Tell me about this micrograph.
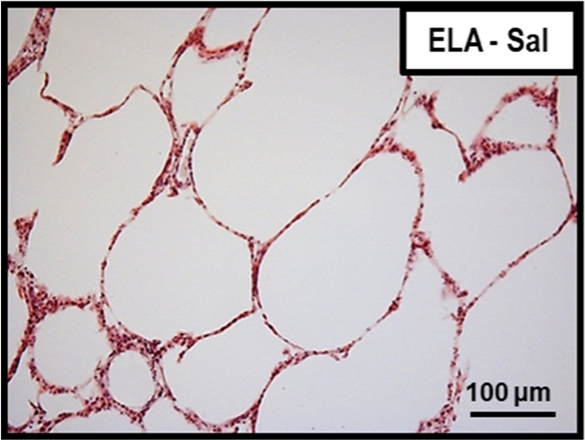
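This is lung parenchyma showing emphysema: the alveolar air spaces are greatly enlarged. Instead of a fine honeycomb of small alveoli, a few very large white spaces dominate the field, some many times the size of normal alveoli. The walls separating them are thin pink septa with sparse dark purple nuclei, and there are far fewer of them per area. Several septa end freely, as if torn, projecting into the large spaces. Toward the edges, small clusters of more normal-sized alveoli with thicker, more cellular walls remain, making the contrast with the enlarged spaces easy to see.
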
